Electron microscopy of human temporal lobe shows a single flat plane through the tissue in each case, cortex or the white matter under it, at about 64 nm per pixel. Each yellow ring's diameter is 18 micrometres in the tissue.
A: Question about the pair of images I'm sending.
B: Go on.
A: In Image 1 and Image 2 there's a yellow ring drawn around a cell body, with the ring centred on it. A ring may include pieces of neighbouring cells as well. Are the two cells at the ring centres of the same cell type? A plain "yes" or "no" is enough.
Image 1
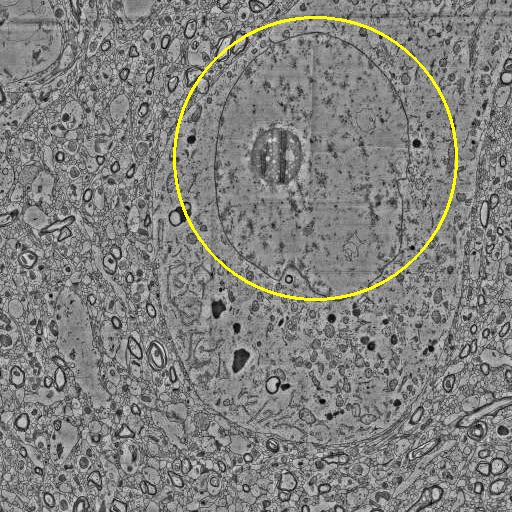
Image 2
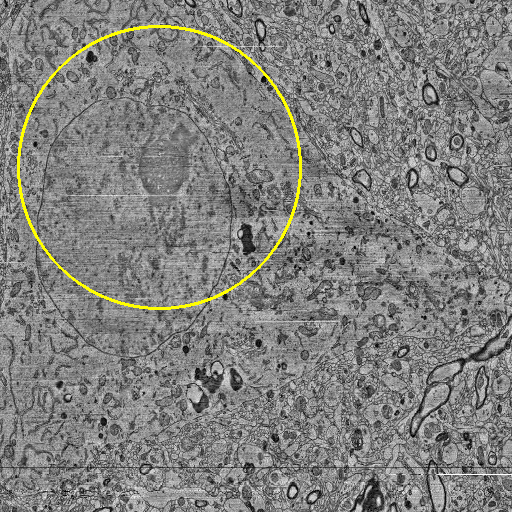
yes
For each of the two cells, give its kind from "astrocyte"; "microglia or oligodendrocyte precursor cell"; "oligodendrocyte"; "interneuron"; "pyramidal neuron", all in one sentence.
In each of the two pictures, the ringed cell is a pyramidal neuron.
